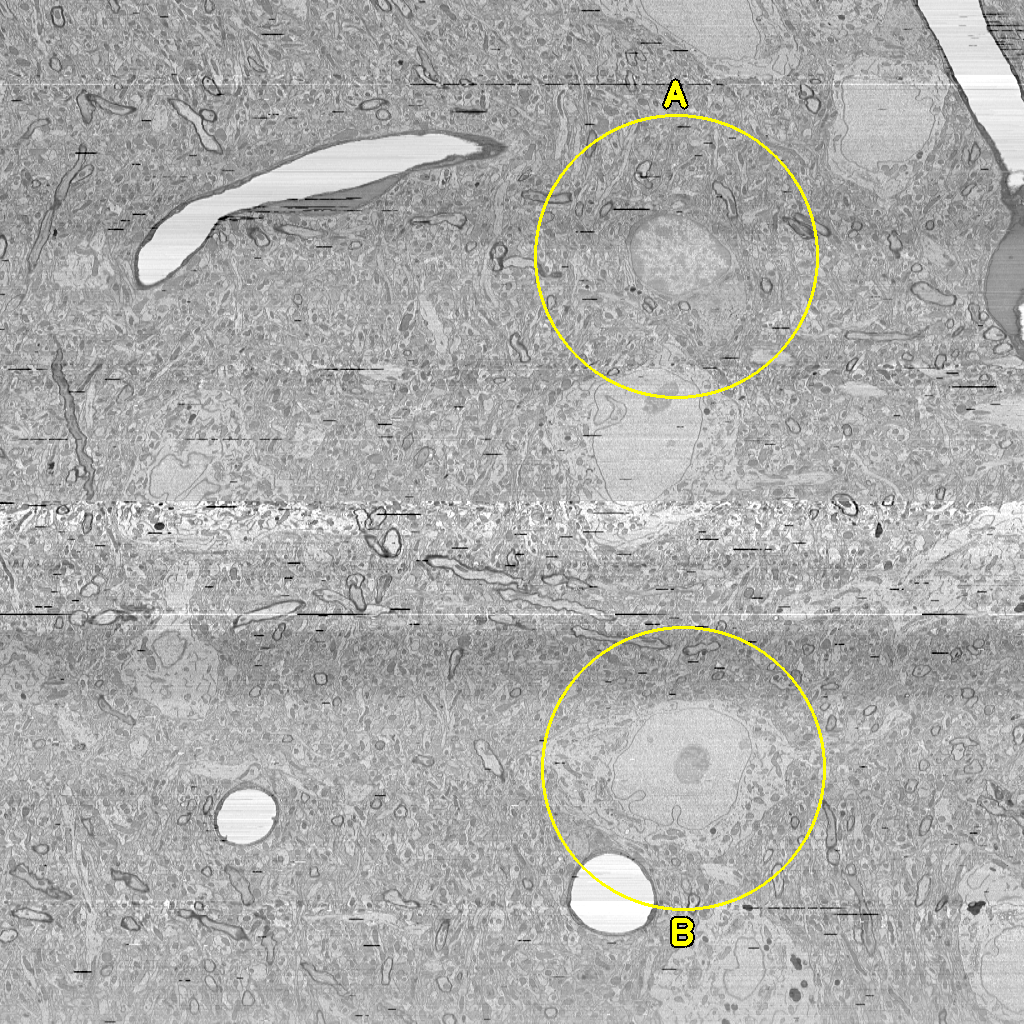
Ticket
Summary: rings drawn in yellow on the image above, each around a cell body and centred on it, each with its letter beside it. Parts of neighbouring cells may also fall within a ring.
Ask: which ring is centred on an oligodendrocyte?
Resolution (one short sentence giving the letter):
The ring marked A is centred on it.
